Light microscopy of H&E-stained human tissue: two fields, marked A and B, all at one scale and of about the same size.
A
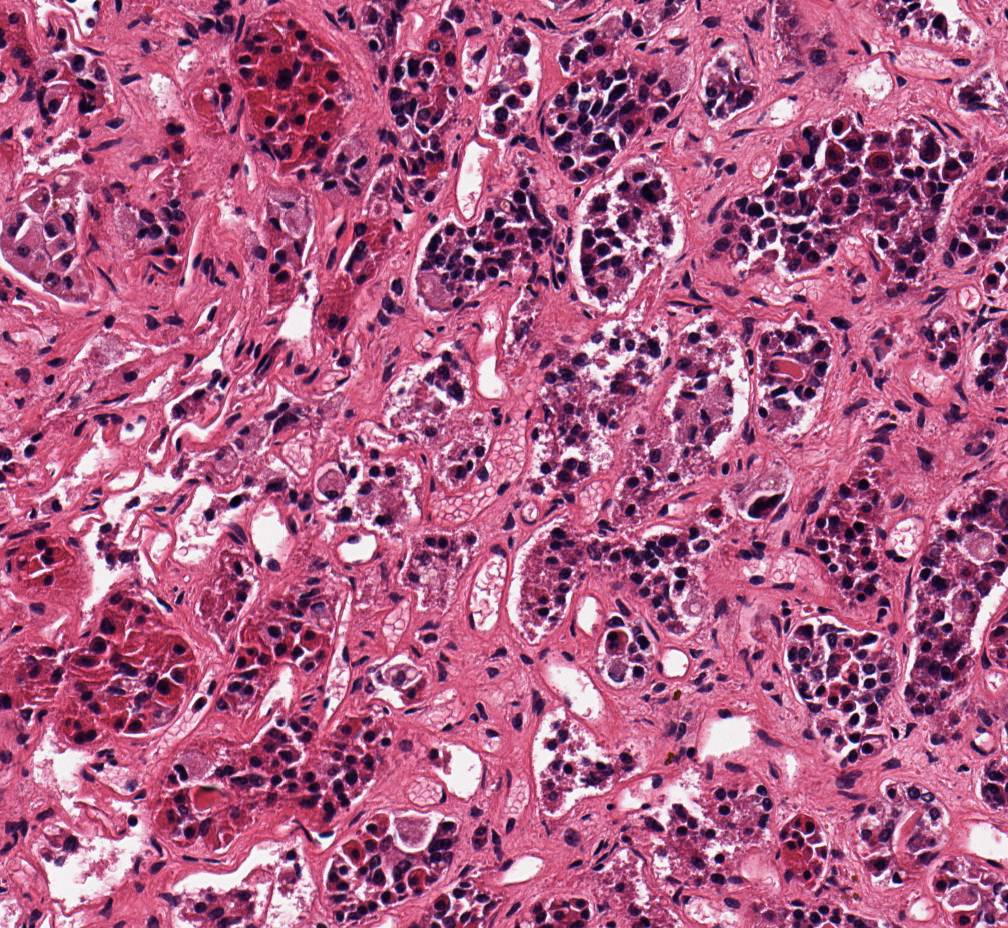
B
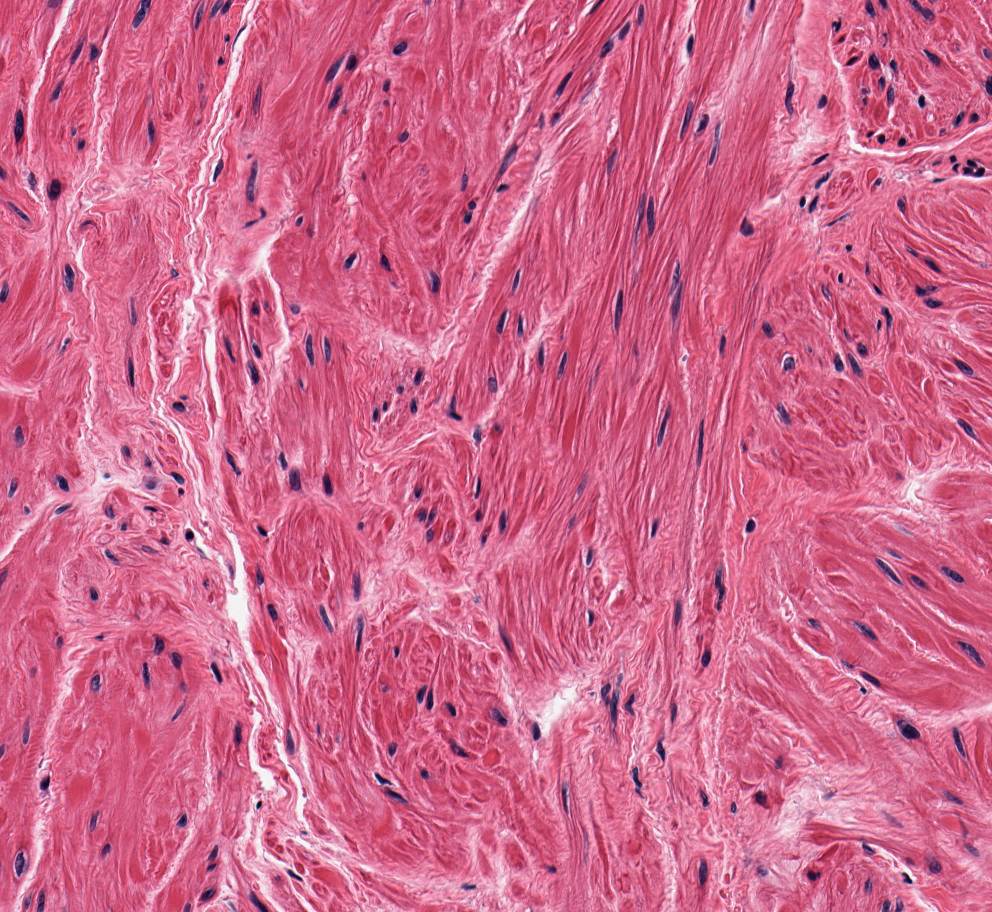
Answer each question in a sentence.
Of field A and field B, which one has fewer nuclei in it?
It is field B that has fewer nuclei in it.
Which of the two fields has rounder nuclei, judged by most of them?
On the whole the nuclei of field A are rounder than those of field B.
